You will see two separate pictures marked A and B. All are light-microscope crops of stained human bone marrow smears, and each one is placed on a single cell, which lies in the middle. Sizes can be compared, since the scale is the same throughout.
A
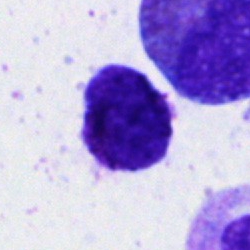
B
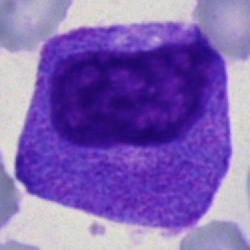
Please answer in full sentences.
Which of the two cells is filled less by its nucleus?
It is the cell in crop B that is filled less by its nucleus.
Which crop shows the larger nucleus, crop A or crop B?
It is the nucleus in crop B, about 2 times as large in area as the one in crop A.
